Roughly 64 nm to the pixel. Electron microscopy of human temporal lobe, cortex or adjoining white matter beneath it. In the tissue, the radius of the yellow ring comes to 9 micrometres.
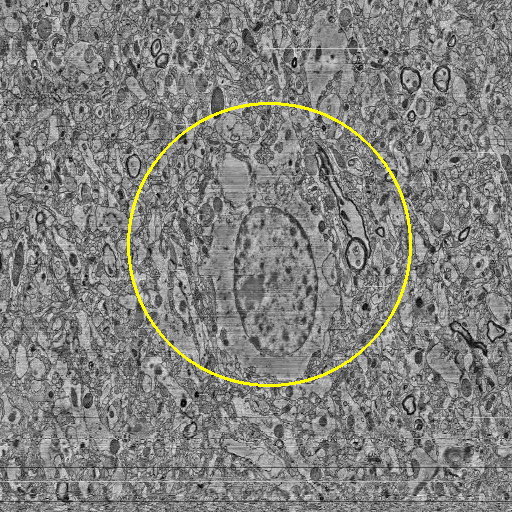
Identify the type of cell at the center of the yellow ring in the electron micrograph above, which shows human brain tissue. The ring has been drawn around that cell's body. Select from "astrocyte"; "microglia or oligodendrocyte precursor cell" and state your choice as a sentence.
The yellow ring is centered on the body of an astrocyte.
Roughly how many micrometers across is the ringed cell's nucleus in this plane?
About 10 by 5 micrometres; in this plane the nucleus is clearly longer than it is wide.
